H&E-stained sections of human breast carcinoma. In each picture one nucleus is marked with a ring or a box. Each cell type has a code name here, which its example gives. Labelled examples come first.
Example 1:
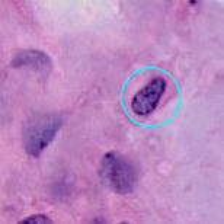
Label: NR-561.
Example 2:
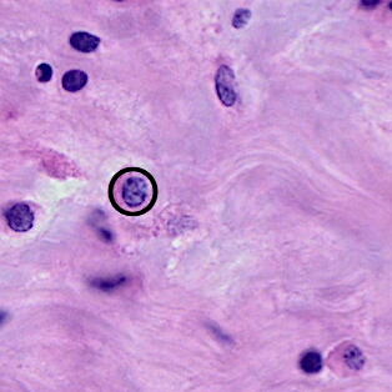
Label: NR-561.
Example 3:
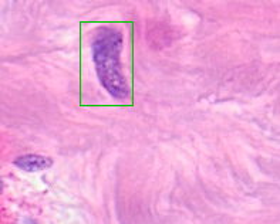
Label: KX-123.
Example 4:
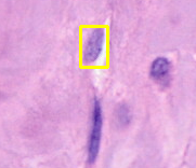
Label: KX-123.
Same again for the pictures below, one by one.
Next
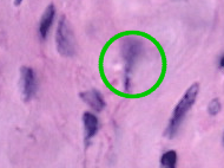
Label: KX-123.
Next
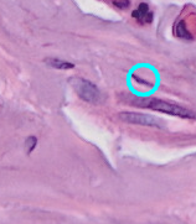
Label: KX-123.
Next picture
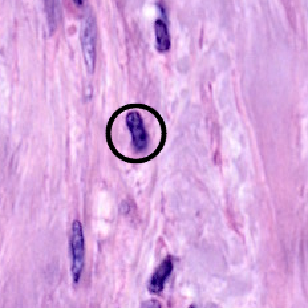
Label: NR-561.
